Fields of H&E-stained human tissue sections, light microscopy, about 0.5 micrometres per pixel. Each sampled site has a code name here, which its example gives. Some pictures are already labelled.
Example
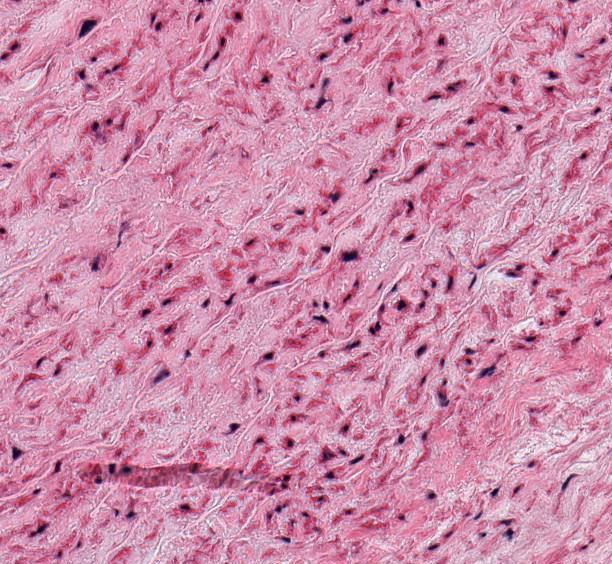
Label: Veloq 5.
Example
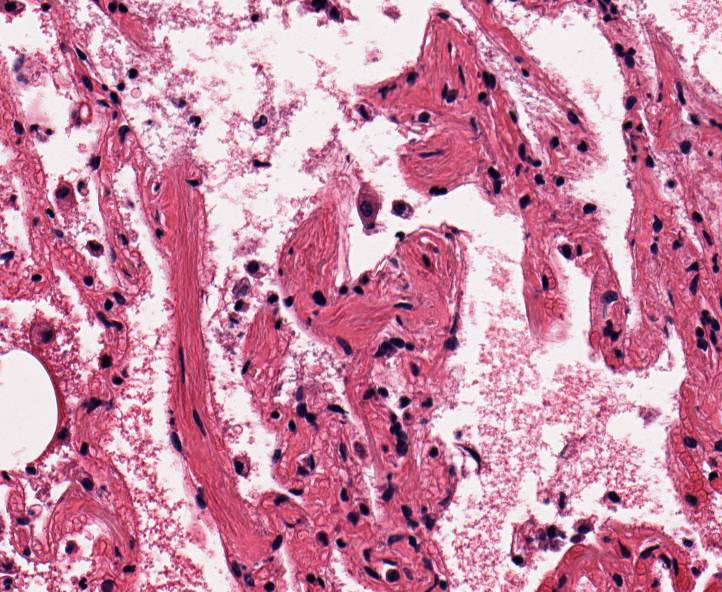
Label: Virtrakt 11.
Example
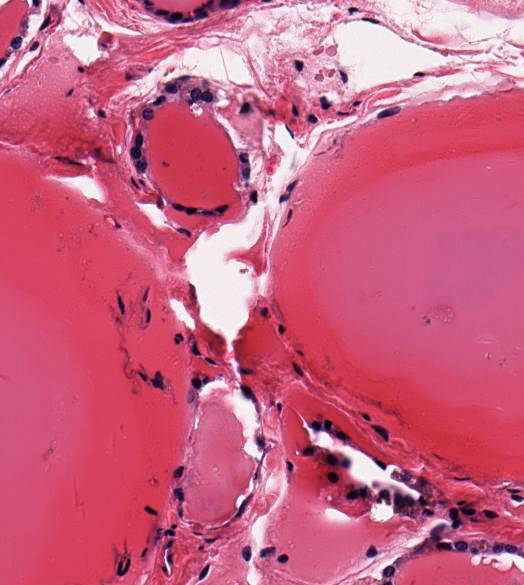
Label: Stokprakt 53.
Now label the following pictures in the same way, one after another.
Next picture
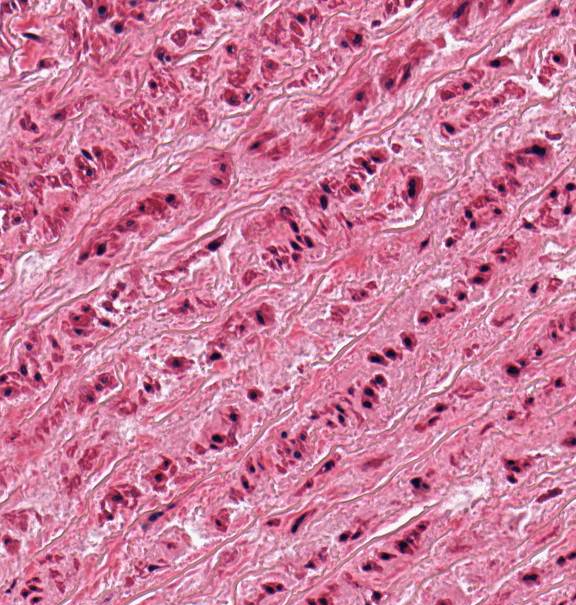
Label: Veloq 5.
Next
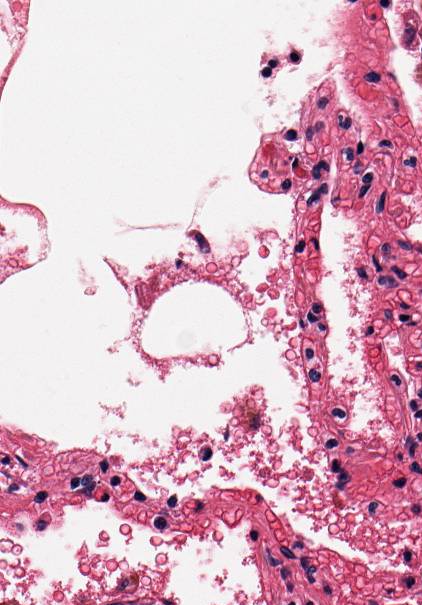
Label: Virtrakt 11.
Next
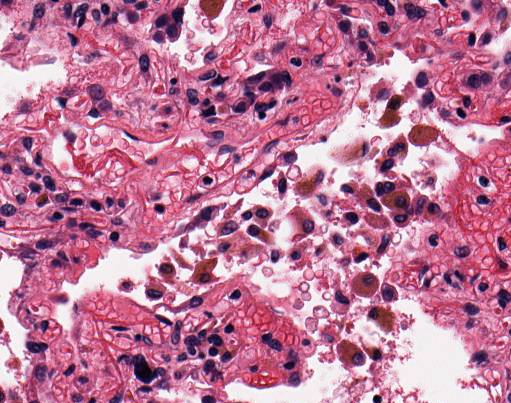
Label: Virtrakt 11.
